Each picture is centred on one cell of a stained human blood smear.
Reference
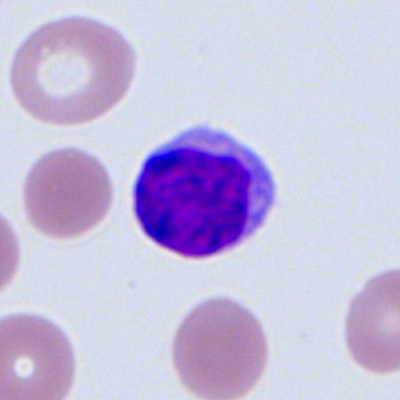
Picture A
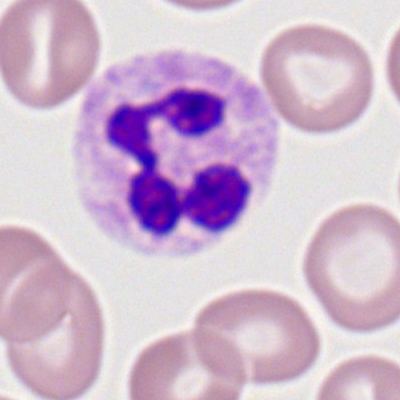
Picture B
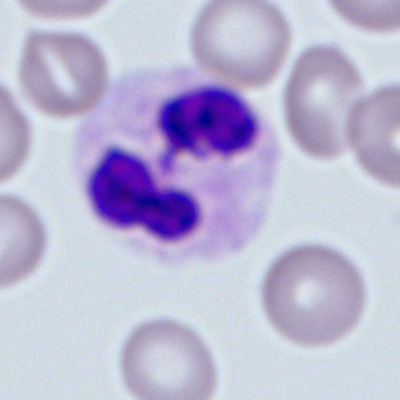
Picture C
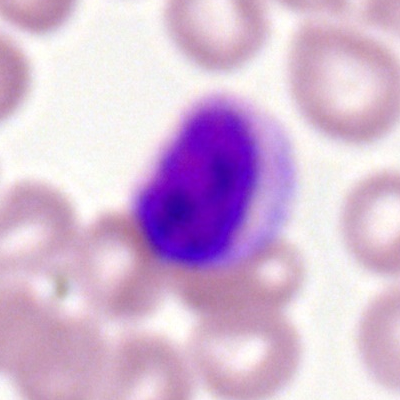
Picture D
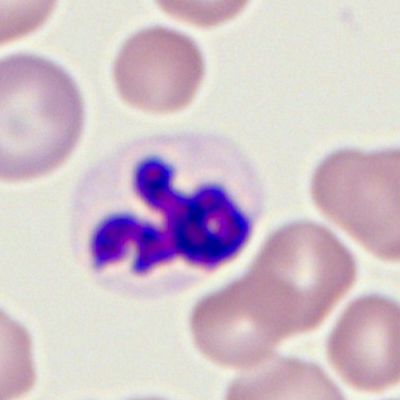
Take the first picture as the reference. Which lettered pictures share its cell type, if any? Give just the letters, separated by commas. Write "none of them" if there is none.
C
